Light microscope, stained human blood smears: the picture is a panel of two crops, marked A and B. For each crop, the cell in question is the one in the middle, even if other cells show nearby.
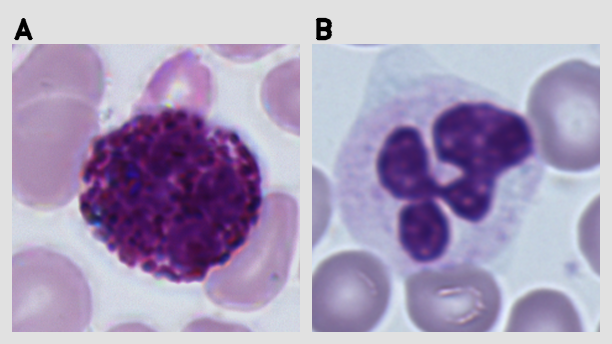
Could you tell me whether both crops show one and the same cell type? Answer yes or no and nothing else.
no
